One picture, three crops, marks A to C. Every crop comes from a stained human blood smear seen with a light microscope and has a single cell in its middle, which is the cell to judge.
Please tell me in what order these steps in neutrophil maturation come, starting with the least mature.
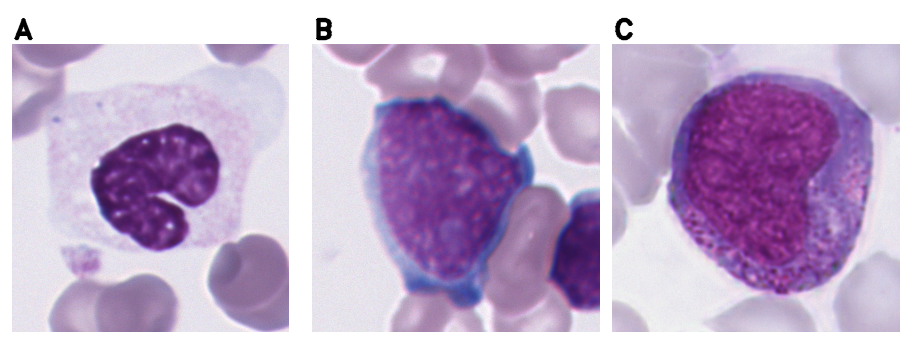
B, C, A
